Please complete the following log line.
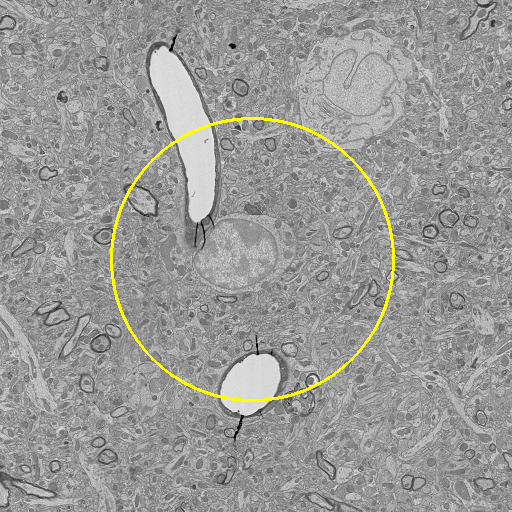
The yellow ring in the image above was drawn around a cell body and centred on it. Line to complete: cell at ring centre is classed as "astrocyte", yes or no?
no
